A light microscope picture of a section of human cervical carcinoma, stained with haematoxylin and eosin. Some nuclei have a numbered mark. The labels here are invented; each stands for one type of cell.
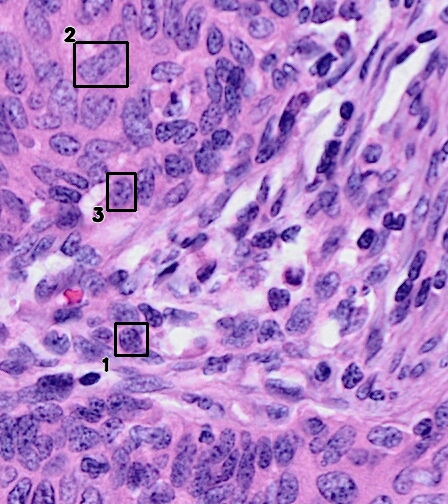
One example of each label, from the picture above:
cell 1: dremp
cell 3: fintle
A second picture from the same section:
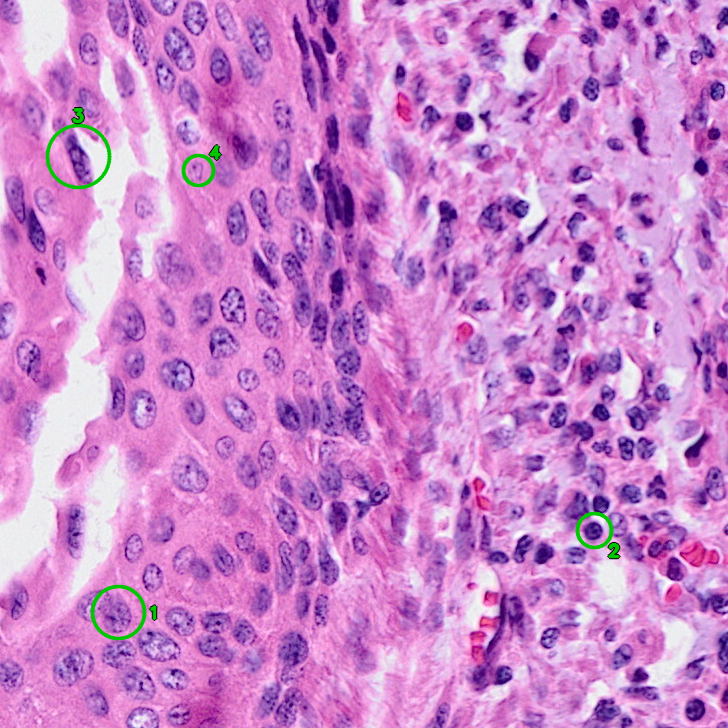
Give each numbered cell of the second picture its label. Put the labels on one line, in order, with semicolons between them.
fintle; dremp; fintle; fintle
